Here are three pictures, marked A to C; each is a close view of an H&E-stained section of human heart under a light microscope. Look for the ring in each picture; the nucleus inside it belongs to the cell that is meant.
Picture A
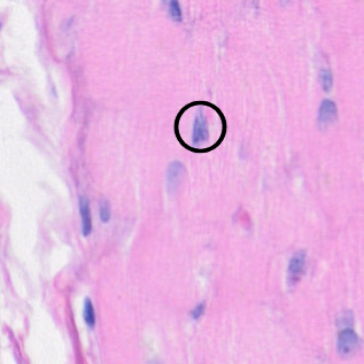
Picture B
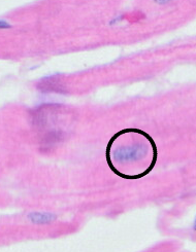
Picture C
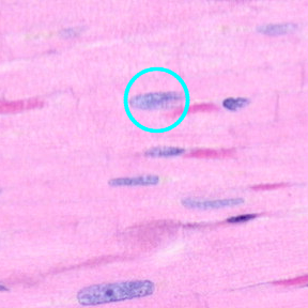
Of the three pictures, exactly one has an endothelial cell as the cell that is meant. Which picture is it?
A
